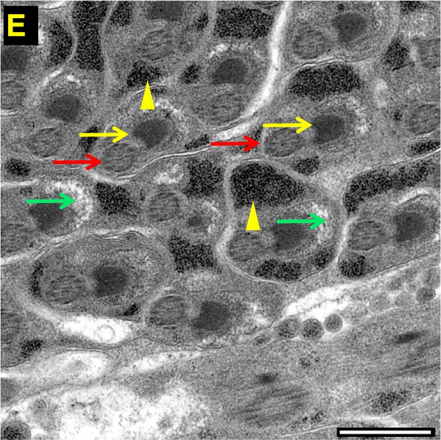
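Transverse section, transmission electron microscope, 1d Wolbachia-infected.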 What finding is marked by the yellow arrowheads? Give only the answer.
irregular black mass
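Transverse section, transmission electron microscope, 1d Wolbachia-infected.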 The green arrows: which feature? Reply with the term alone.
Vacuoles.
